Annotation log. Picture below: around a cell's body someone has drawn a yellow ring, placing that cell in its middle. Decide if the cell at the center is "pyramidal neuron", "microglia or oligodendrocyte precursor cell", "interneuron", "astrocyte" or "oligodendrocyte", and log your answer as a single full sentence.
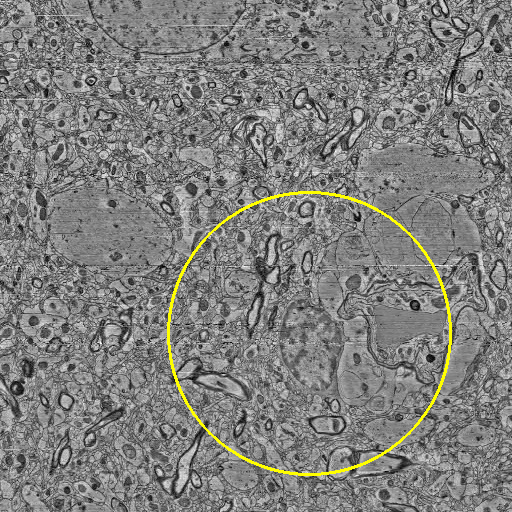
My entry records an oligodendrocyte as the cell sitting at the center of the yellow ring.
